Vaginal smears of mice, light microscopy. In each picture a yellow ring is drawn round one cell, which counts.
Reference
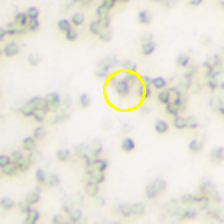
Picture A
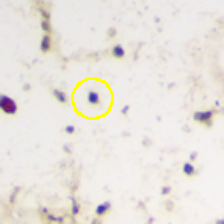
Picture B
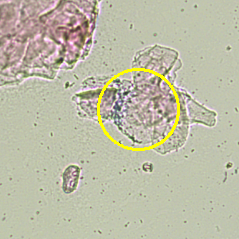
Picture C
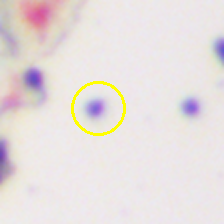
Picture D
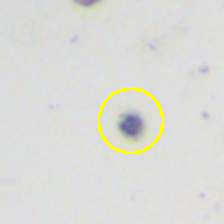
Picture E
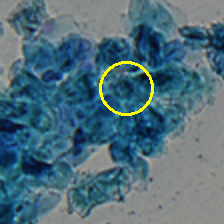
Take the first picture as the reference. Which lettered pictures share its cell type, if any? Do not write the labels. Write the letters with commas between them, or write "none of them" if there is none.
A, C, D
